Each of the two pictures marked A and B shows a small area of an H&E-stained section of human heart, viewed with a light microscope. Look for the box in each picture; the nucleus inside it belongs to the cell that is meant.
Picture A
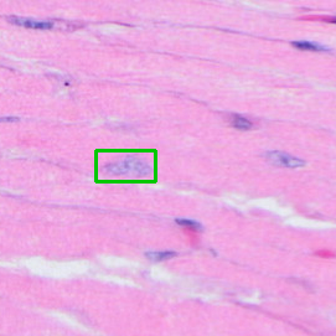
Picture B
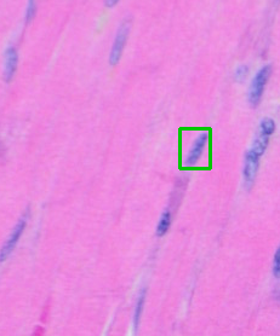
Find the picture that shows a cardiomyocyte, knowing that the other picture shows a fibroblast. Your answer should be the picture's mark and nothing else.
A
